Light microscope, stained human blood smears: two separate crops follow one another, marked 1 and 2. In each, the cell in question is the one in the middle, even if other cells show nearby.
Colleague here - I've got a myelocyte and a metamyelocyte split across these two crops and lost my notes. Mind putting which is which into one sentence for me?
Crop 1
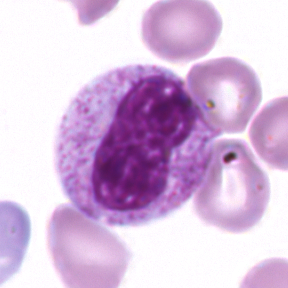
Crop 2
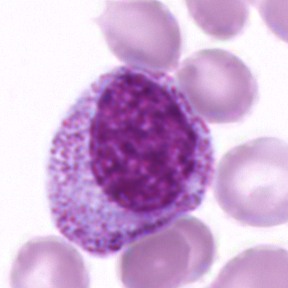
In crop 1 the cell is a metamyelocyte, while in crop 2 it is a myelocyte.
